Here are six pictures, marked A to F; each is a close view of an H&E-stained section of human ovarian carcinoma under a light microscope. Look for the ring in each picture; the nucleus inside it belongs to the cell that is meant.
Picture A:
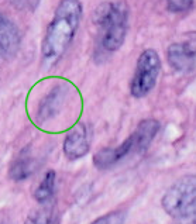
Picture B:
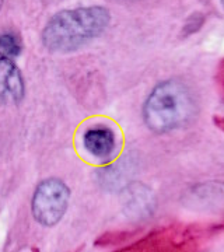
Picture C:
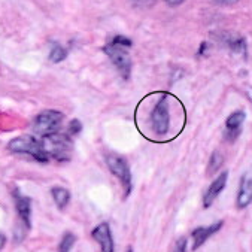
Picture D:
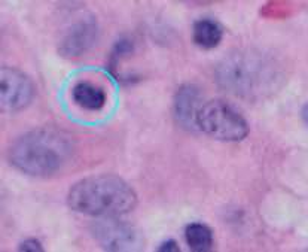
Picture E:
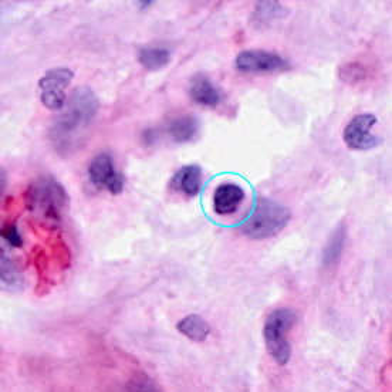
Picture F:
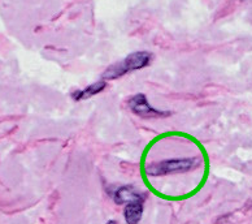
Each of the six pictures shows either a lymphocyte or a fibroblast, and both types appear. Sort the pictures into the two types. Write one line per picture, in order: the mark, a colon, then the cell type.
A: fibroblast
B: lymphocyte
C: fibroblast
D: lymphocyte
E: lymphocyte
F: fibroblast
